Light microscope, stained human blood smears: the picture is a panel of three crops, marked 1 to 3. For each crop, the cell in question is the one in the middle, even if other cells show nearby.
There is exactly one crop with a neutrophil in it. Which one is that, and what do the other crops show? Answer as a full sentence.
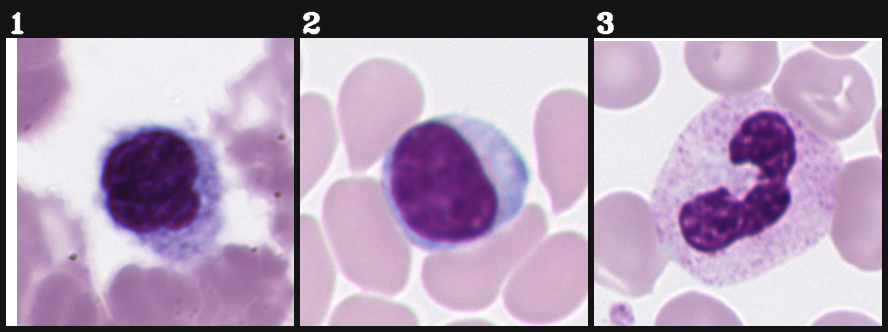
Crop 3 is the one showing a neutrophil, whereas crop 1 is a hairy cell and crop 2 is a typical lymphocyte.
